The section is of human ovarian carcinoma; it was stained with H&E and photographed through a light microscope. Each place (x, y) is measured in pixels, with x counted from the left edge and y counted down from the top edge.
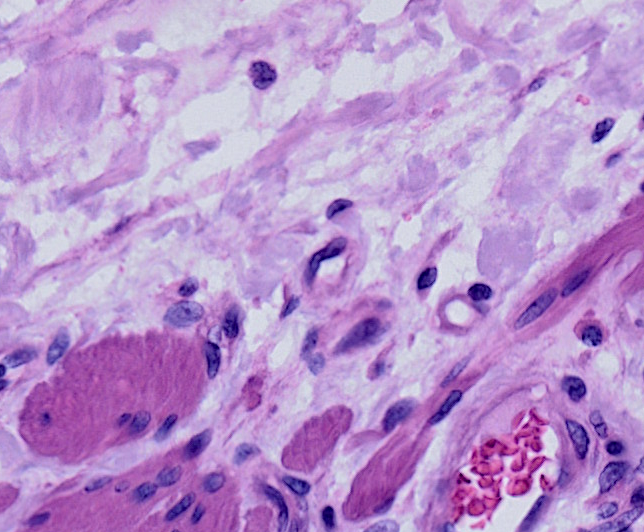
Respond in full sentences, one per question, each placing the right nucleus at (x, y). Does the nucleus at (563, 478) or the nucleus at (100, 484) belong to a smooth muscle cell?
Of the two nuclei, the nucleus belonging to a smooth muscle cell is located at (100, 484).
